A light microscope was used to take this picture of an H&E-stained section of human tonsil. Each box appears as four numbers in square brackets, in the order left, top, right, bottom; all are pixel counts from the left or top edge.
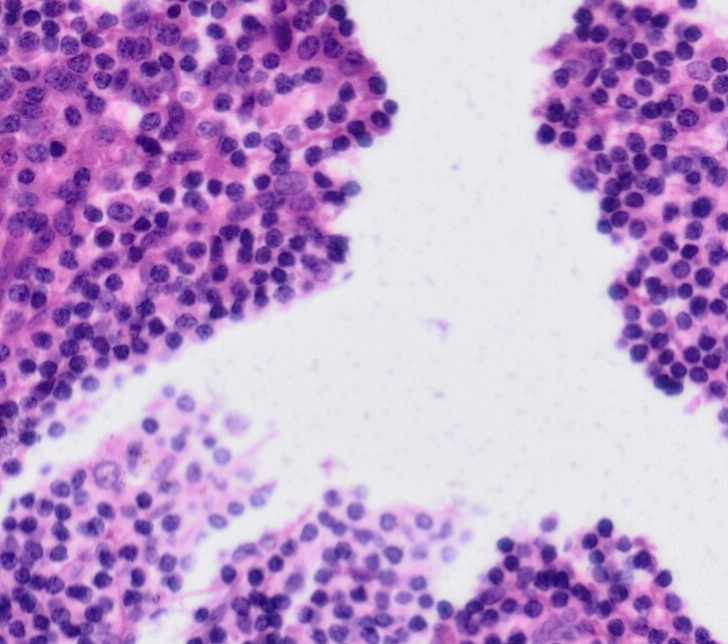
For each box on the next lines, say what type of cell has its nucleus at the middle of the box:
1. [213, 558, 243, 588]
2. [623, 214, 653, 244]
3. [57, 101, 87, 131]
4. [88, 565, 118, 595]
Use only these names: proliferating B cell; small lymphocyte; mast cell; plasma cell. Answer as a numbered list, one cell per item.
1. small lymphocyte
2. small lymphocyte
3. plasma cell
4. small lymphocyte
